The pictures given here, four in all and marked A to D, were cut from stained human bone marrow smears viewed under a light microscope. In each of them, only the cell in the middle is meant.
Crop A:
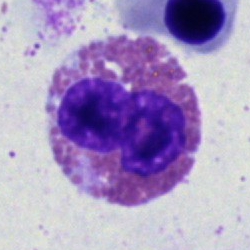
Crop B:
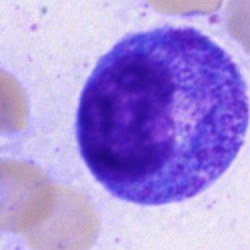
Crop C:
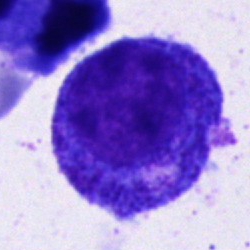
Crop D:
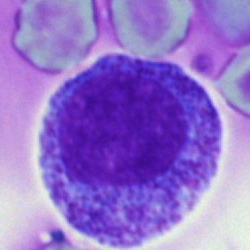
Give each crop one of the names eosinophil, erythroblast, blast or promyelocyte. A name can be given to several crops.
A: eosinophil
B: promyelocyte
C: promyelocyte
D: promyelocyte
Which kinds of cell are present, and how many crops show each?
promyelocyte: 3
eosinophil: 1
